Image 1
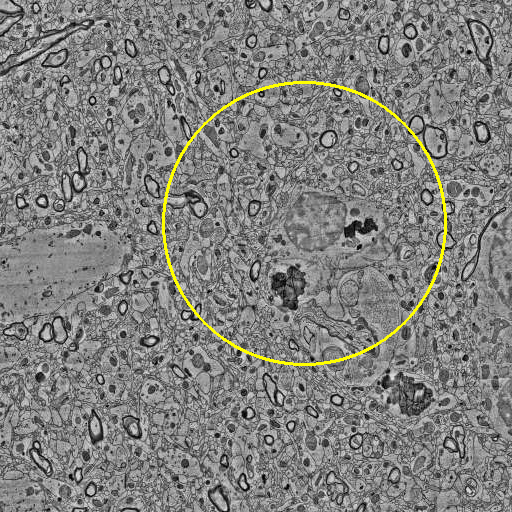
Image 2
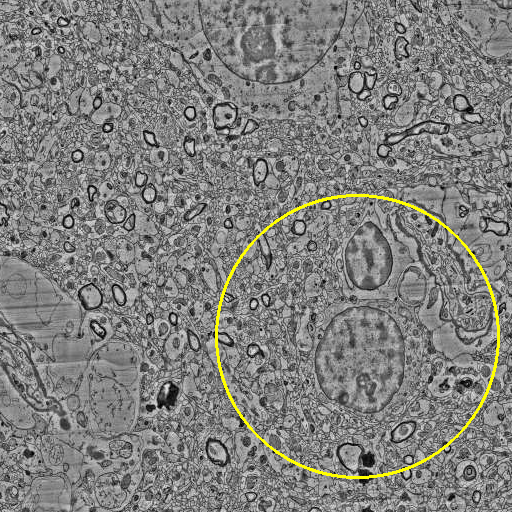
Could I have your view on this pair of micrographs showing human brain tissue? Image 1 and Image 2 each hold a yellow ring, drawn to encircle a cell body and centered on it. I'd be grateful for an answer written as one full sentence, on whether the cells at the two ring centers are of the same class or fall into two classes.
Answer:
The cells at the centers of the two rings are of the same class.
